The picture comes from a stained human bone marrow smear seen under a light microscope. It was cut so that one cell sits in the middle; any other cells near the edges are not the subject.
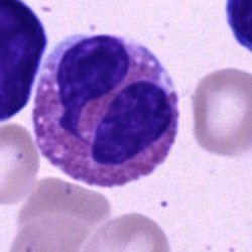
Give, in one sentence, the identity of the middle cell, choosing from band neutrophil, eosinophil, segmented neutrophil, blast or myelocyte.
Within this crop, an eosinophil occupies the central position.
